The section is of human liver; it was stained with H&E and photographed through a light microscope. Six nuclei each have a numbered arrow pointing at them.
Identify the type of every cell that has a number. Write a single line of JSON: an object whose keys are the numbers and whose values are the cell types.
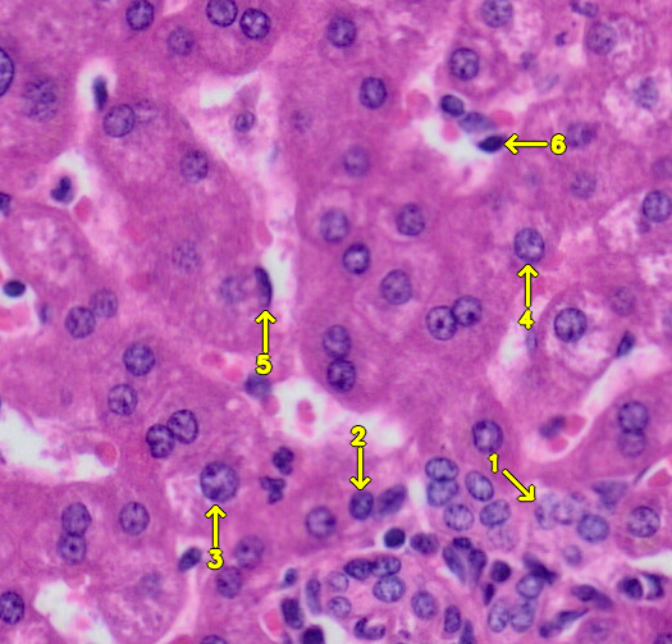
{"1": "cholangiocyte", "2": "cholangiocyte", "3": "hepatocyte", "4": "hepatocyte", "5": "endothelial cell", "6": "lymphocyte"}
